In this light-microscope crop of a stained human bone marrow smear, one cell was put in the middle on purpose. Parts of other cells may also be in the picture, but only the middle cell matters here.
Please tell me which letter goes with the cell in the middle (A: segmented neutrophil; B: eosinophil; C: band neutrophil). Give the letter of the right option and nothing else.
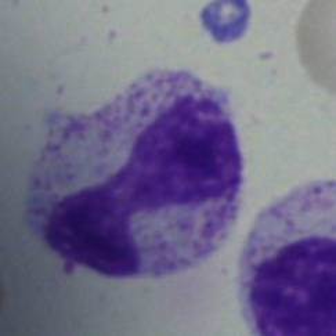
C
